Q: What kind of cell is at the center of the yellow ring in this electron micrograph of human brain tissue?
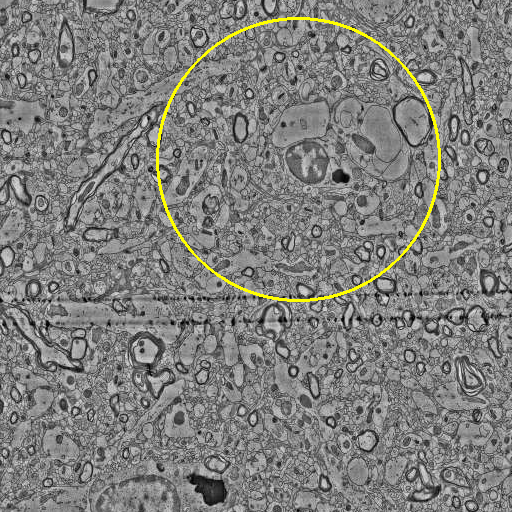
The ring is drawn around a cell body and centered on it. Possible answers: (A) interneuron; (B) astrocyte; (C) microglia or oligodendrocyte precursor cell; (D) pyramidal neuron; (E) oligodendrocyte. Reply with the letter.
C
